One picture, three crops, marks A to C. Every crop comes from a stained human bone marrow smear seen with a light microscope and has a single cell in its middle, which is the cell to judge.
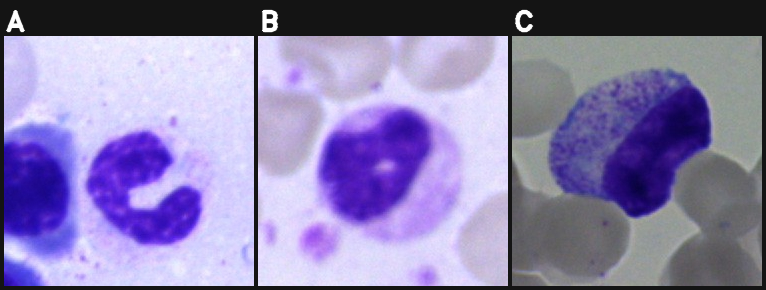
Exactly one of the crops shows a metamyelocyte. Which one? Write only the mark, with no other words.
C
